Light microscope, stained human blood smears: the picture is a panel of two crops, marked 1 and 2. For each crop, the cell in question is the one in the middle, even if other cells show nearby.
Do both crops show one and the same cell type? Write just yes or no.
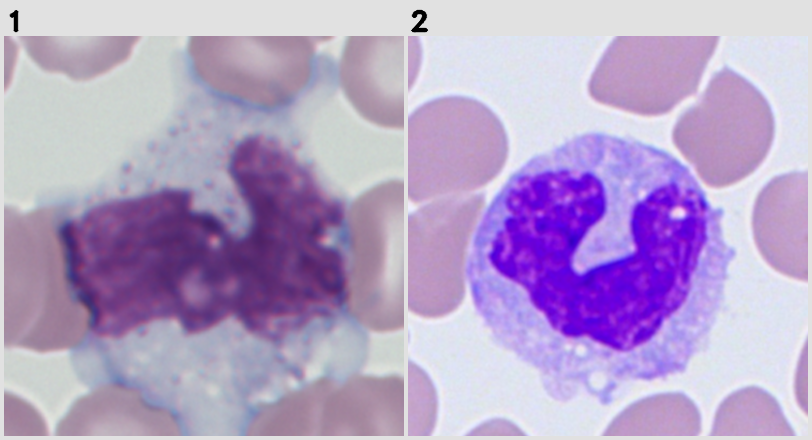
yes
